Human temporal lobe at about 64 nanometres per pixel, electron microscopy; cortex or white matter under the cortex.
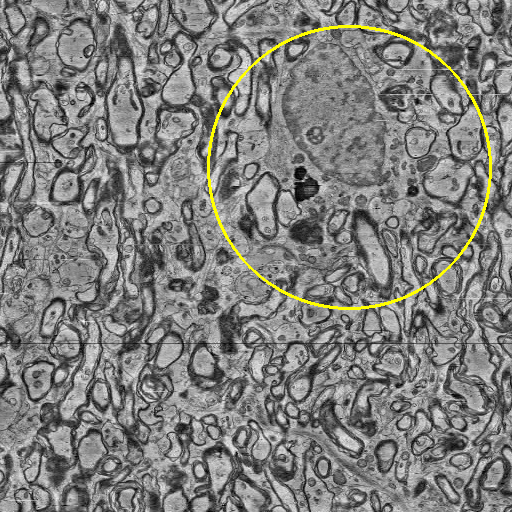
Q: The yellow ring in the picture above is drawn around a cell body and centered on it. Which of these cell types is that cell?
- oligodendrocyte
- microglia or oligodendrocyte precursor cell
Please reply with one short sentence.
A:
The cell body at the ring's center belongs to an oligodendrocyte.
